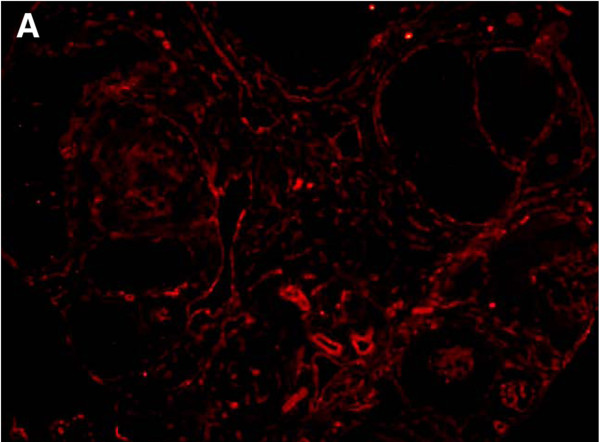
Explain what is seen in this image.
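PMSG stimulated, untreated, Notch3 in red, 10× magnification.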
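Ovary at low power with several large follicles. The granulosa cells filling the follicles are largely without red signal. Between follicles the stroma holds many fine red threads and small rings, some brighter tubular profiles in the lower middle. A couple of smaller round structures at the lower right show a speckled red inner pattern.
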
